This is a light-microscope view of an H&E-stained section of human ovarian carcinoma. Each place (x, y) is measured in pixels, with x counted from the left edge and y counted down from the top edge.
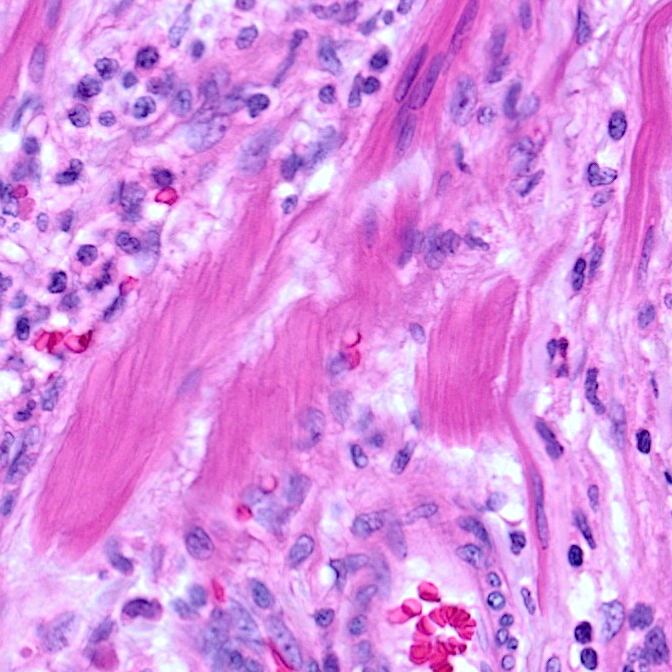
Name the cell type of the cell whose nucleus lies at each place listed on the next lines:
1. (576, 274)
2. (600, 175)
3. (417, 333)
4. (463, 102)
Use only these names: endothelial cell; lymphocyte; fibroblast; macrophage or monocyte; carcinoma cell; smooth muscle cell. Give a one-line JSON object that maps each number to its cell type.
{"1": "macrophage or monocyte", "2": "macrophage or monocyte", "3": "smooth muscle cell", "4": "fibroblast"}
